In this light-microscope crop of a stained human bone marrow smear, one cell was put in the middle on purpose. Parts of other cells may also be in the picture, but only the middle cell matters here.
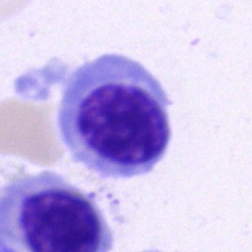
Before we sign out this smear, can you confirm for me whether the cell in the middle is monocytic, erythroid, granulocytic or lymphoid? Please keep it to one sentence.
It is of the erythroid lineage that the central cell is a member.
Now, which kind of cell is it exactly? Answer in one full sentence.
At the middle of the frame sits an erythroblast.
